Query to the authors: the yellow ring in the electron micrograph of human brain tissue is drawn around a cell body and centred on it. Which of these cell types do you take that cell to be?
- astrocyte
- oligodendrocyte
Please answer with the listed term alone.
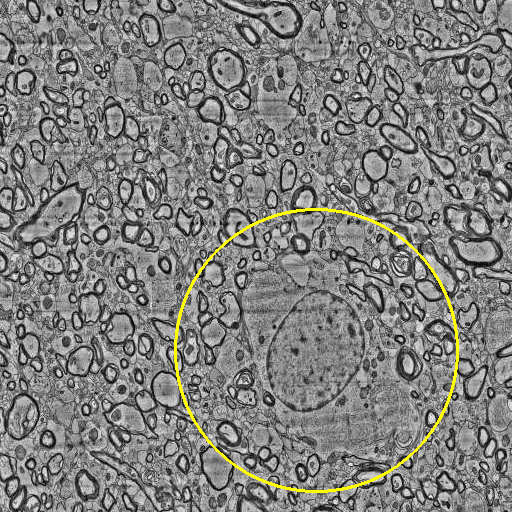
astrocyte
